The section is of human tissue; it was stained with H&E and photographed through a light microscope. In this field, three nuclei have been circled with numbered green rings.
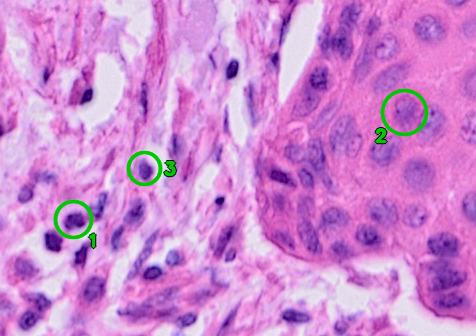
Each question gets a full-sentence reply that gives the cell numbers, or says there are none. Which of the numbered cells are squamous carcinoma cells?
Cell 2 is a squamous carcinoma cell, which is true of none of the other numbered cells.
